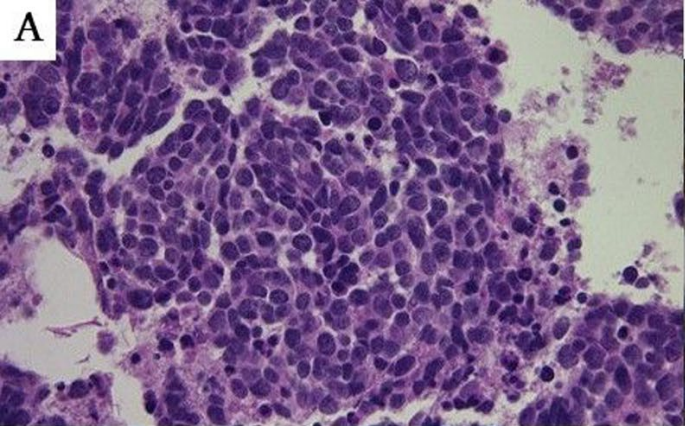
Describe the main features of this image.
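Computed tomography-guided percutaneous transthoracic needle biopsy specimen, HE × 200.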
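Dense sheets of small cells with a high nucleus-to-cytoplasm ratio fill the field. The nuclei are round to oval, dark purple and crowded, often moulding against one another, with only a thin rim of pink cytoplasm. The cells lie in solid clusters separated by narrow clefts and open spaces. Scattered small, very dark, shrunken nuclei lie among the cells and at the edges of the clusters. Loose debris and a few detached cells lie in the empty spaces.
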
